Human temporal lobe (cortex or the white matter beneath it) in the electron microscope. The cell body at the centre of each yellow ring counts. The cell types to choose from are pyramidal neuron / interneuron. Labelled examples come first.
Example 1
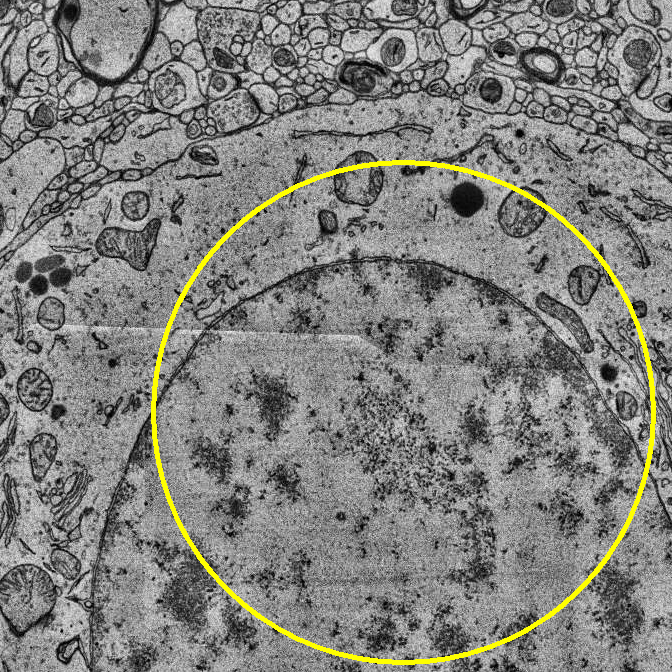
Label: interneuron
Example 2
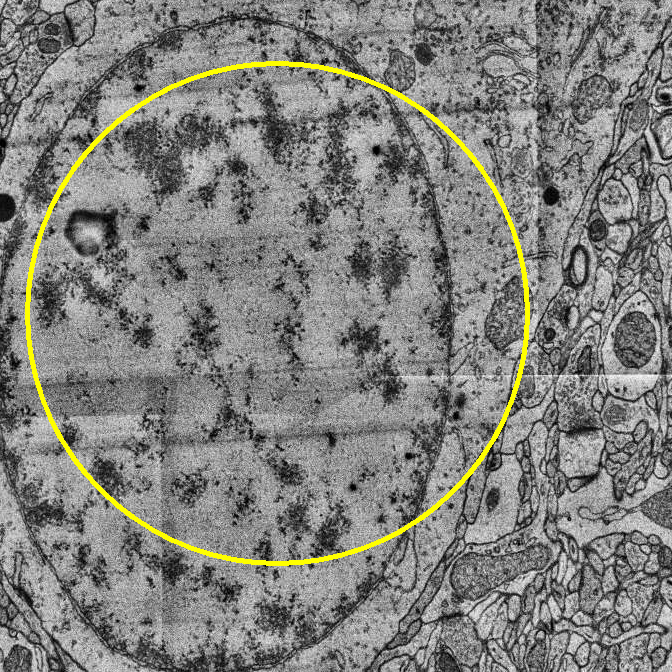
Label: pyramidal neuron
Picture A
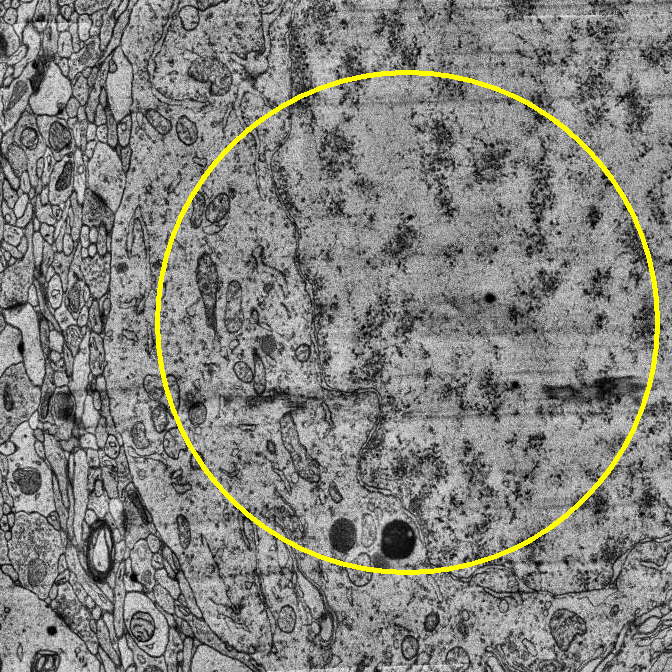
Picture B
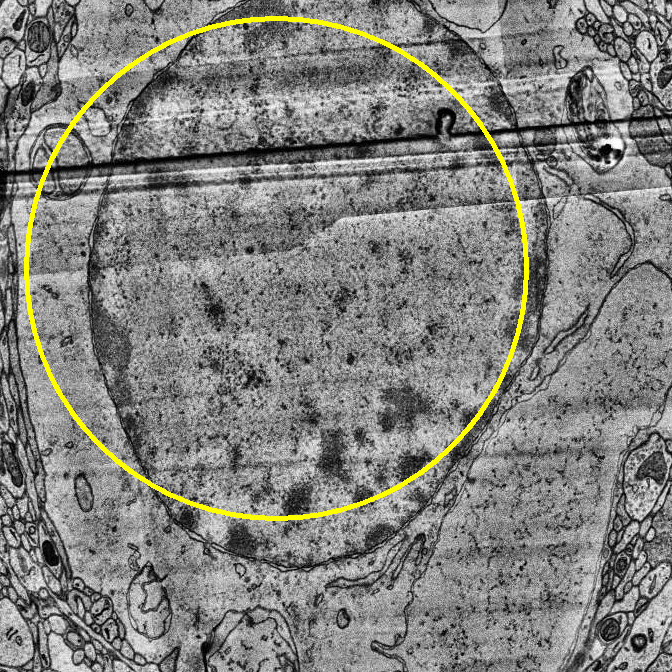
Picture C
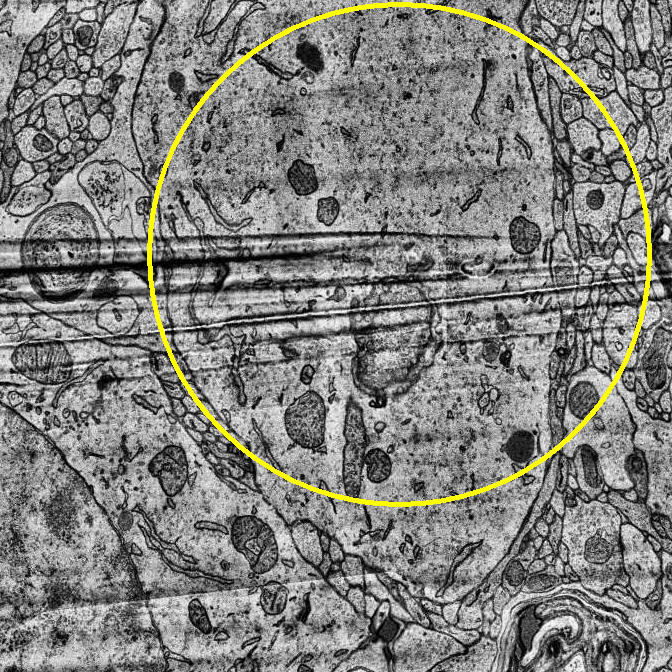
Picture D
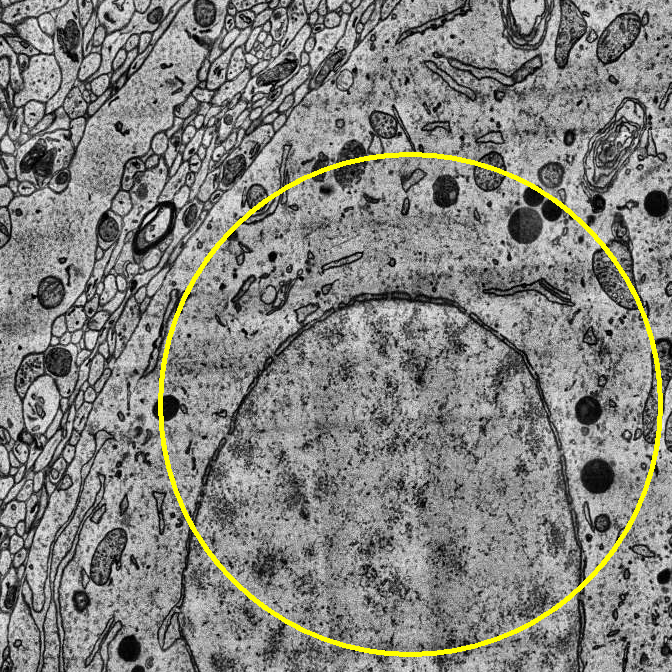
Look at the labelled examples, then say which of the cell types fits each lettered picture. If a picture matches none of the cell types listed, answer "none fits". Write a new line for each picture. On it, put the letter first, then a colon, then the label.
A: interneuron
B: none fits
C: pyramidal neuron
D: pyramidal neuron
